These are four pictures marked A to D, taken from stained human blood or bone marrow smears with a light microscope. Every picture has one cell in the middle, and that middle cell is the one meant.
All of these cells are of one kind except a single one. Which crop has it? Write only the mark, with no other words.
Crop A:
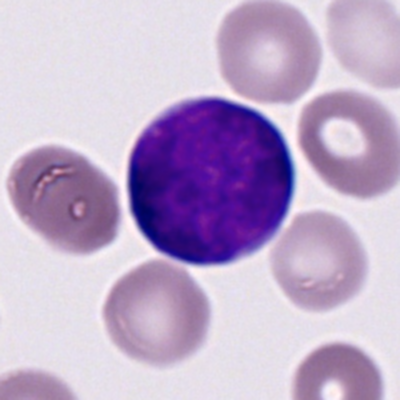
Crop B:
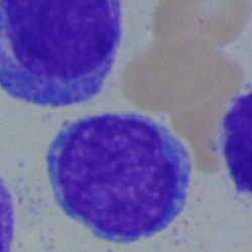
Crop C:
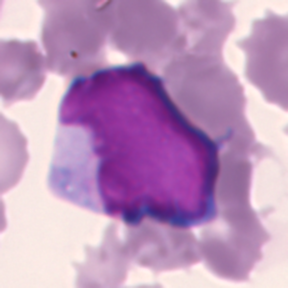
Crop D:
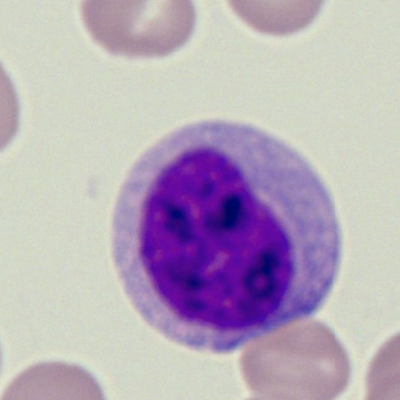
D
